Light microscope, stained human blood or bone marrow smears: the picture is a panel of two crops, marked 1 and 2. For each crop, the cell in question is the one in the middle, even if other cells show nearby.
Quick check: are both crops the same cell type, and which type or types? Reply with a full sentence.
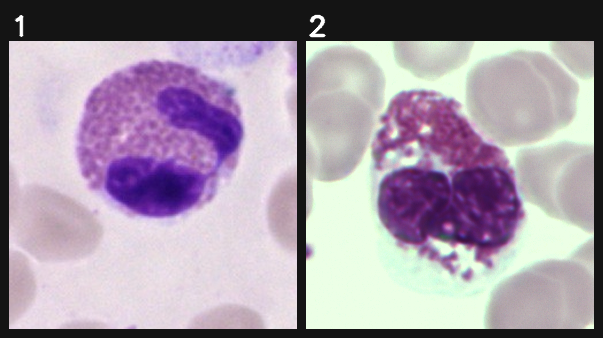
Yes, in the middle of both crops, eosinophils are shown.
